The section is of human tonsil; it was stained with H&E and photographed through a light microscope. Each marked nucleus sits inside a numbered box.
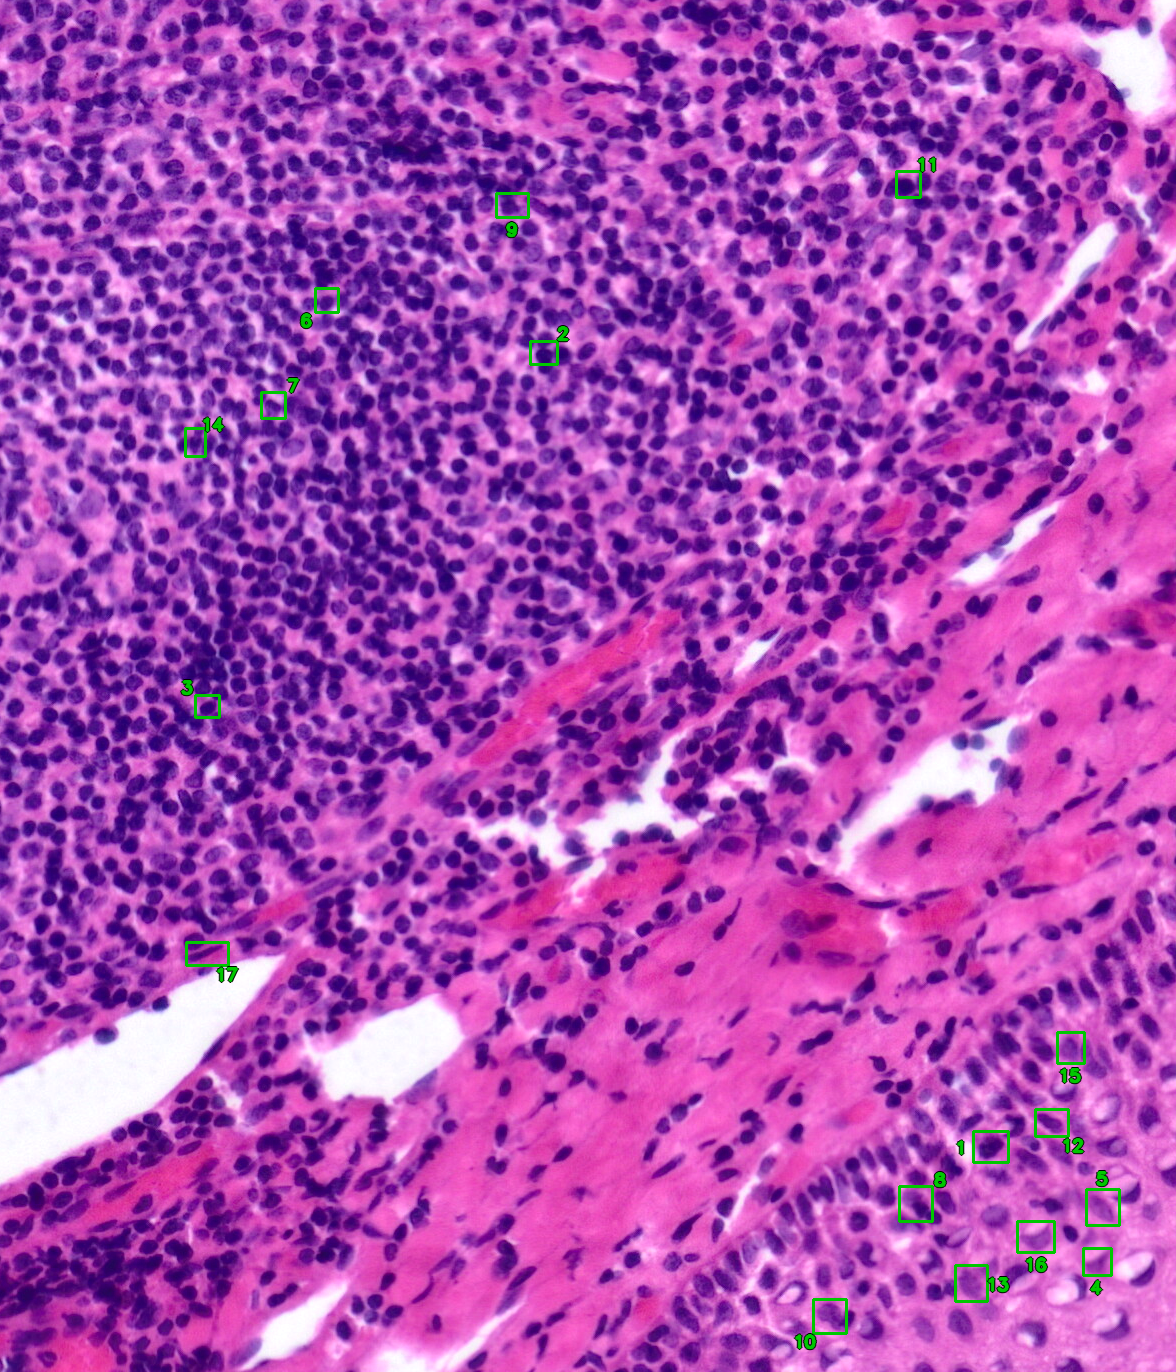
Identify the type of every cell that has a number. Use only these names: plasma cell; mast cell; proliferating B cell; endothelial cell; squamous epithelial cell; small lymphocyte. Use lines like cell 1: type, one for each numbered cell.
cell 1: squamous epithelial cell
cell 2: small lymphocyte
cell 3: small lymphocyte
cell 4: squamous epithelial cell
cell 5: squamous epithelial cell
cell 6: small lymphocyte
cell 7: small lymphocyte
cell 8: squamous epithelial cell
cell 9: small lymphocyte
cell 10: squamous epithelial cell
cell 11: small lymphocyte
cell 12: squamous epithelial cell
cell 13: squamous epithelial cell
cell 14: small lymphocyte
cell 15: squamous epithelial cell
cell 16: squamous epithelial cell
cell 17: endothelial cell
